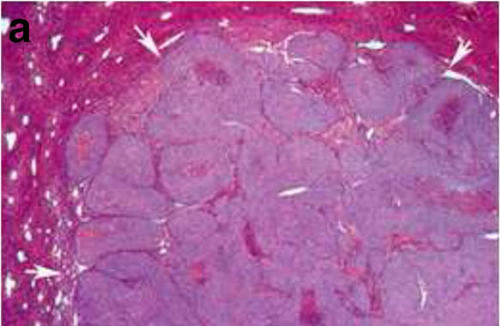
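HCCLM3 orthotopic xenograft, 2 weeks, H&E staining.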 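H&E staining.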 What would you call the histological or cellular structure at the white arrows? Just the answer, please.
Boundaries between tumor and normal liver tissue.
